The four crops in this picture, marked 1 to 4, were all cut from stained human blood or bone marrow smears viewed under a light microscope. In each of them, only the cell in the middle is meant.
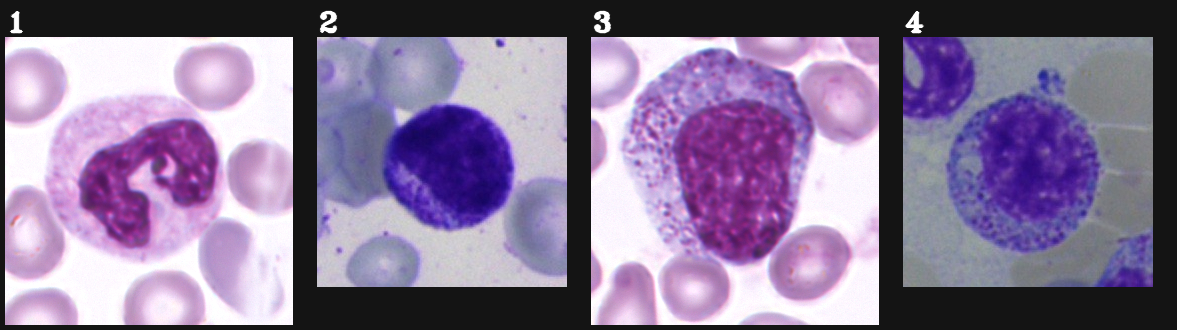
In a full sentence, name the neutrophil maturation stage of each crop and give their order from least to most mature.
The progression from least to most mature runs crop 3 (a promyelocyte), crop 4 (a myelocyte), crop 2 (a metamyelocyte) and crop 1 (a band neutrophil).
